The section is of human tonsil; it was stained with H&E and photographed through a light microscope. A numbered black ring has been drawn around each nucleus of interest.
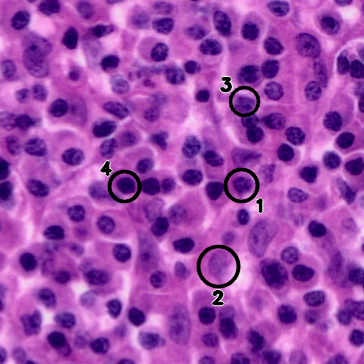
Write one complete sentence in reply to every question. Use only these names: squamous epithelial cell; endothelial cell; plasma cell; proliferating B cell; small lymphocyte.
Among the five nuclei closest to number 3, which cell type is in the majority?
Plasma cells account for more than half of the five nuclei nearest to number 3.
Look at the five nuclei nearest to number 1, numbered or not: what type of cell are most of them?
The majority of the five nuclei closest to number 1 belong to squamous epithelial cells.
